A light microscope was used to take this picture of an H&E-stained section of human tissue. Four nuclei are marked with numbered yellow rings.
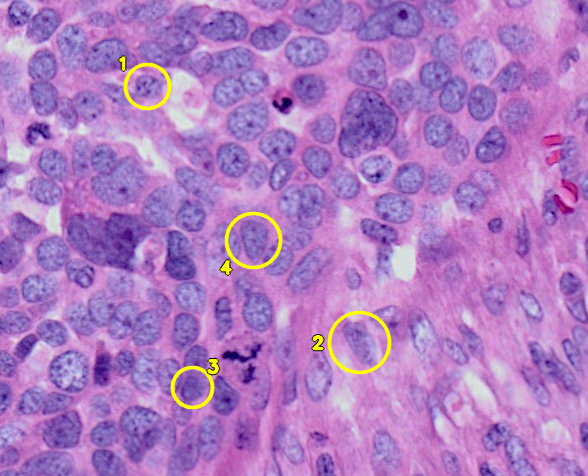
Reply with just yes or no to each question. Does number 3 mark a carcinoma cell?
yes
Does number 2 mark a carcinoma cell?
no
